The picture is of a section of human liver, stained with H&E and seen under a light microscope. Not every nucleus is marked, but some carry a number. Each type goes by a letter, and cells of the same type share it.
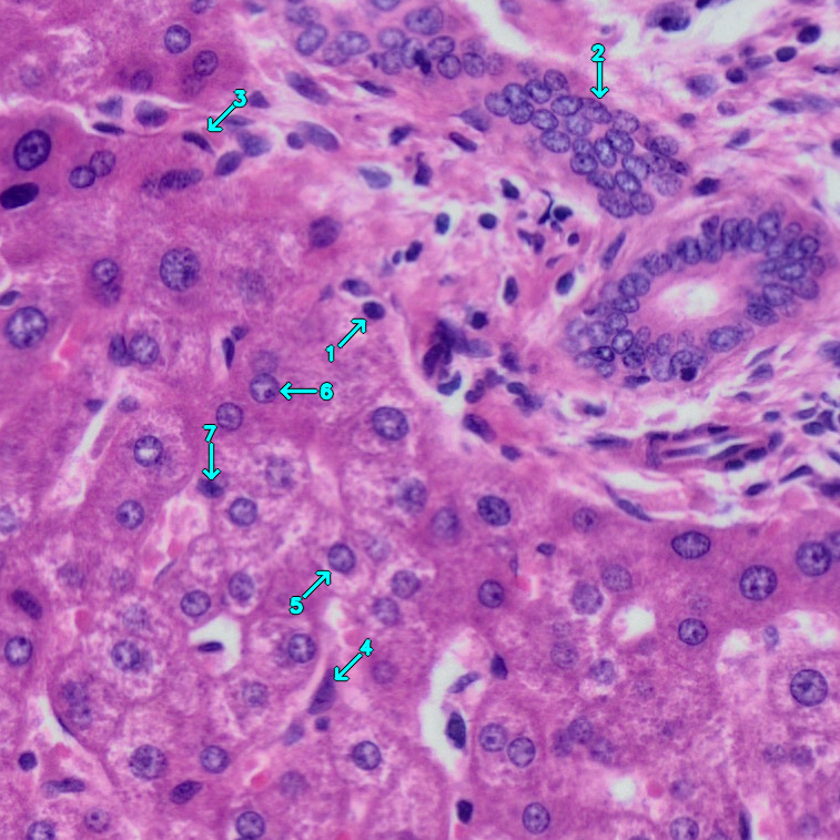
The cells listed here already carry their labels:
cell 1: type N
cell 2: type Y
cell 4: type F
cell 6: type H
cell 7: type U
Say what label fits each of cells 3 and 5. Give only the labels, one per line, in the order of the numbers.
type U
type H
